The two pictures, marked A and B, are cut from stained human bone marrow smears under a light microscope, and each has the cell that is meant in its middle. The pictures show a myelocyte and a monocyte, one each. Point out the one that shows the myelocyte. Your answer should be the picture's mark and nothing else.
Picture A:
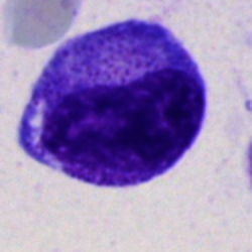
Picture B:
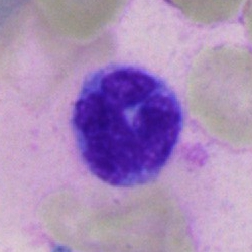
A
